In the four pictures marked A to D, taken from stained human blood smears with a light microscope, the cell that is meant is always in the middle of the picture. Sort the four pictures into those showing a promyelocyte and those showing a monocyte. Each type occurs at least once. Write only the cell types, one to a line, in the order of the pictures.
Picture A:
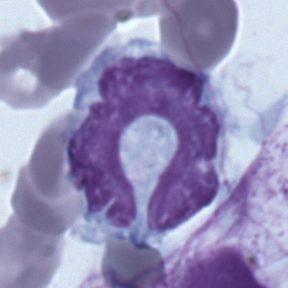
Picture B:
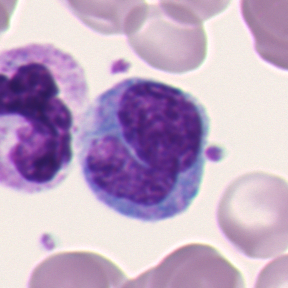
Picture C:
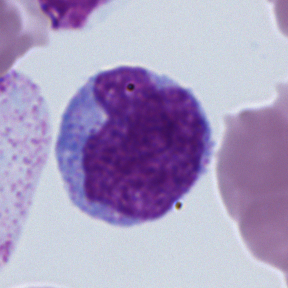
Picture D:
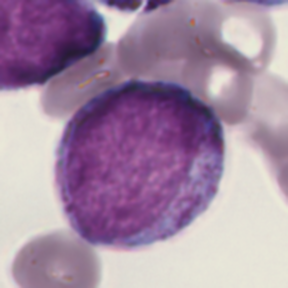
monocyte
monocyte
monocyte
promyelocyte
